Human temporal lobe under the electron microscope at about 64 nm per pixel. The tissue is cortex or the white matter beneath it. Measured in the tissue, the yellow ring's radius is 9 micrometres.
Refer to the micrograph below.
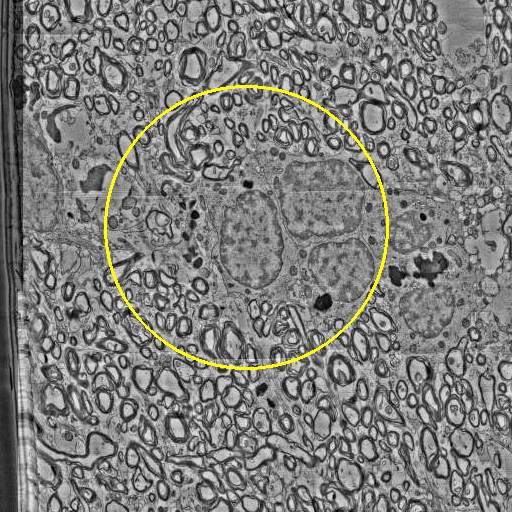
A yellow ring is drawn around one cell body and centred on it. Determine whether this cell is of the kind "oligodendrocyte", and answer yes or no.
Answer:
yes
